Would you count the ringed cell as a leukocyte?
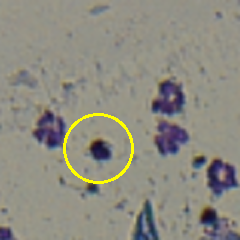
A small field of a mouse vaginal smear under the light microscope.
Yes, I would count it as a leukocyte.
